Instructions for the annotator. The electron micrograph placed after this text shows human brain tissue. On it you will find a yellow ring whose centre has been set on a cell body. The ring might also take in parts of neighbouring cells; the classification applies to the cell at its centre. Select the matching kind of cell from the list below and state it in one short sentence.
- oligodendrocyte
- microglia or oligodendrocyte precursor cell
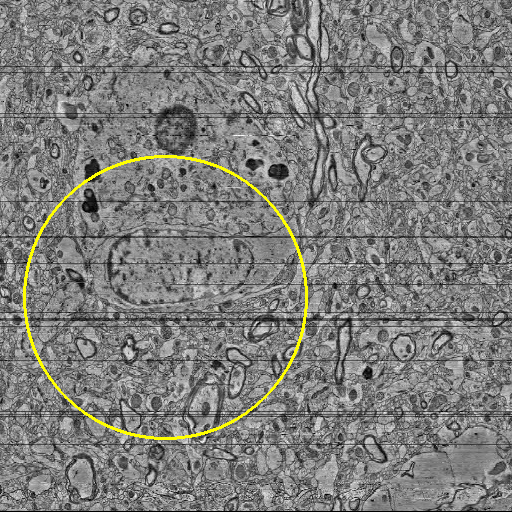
The ring is drawn on the cell body of a microglial cell or oligodendrocyte precursor cell.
